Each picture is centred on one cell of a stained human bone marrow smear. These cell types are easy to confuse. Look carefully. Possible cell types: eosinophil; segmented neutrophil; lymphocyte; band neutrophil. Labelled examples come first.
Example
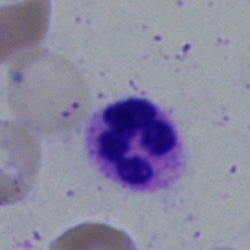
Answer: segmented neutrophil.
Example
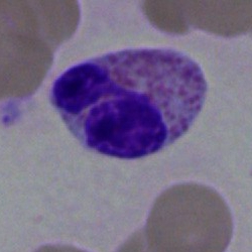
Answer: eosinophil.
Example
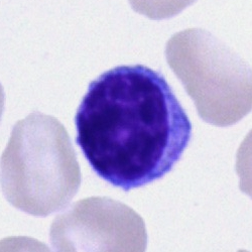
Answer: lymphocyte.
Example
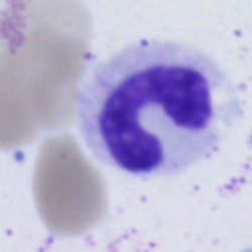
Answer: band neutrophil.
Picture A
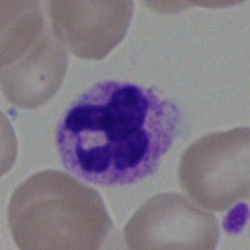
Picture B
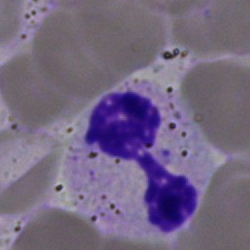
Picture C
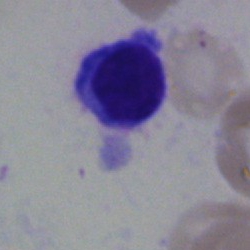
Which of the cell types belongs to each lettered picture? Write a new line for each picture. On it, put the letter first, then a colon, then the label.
A: segmented neutrophil.
B: segmented neutrophil.
C: lymphocyte.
